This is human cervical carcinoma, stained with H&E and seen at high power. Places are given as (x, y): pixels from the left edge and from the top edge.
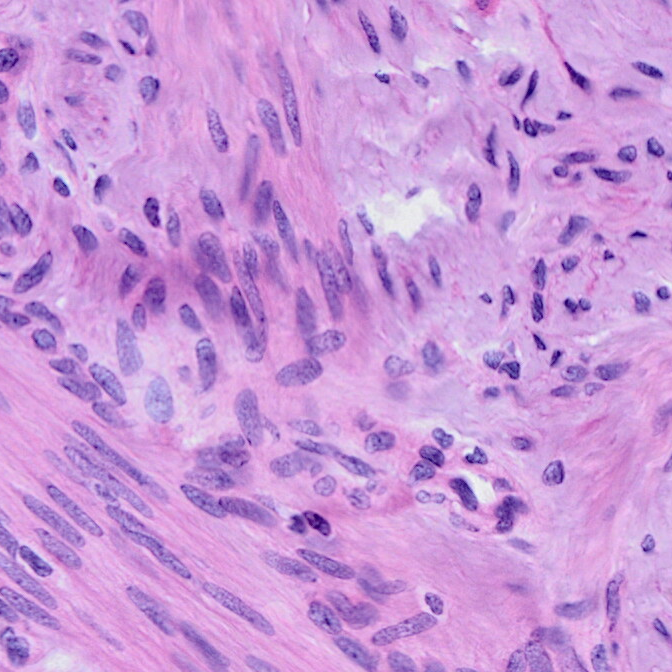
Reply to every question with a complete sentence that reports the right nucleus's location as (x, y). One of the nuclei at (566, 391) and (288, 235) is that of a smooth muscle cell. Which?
The nucleus situated at (566, 391) is the one belonging to a smooth muscle cell.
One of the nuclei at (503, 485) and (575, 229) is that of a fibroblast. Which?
The nucleus at (575, 229) is contained in a fibroblast.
